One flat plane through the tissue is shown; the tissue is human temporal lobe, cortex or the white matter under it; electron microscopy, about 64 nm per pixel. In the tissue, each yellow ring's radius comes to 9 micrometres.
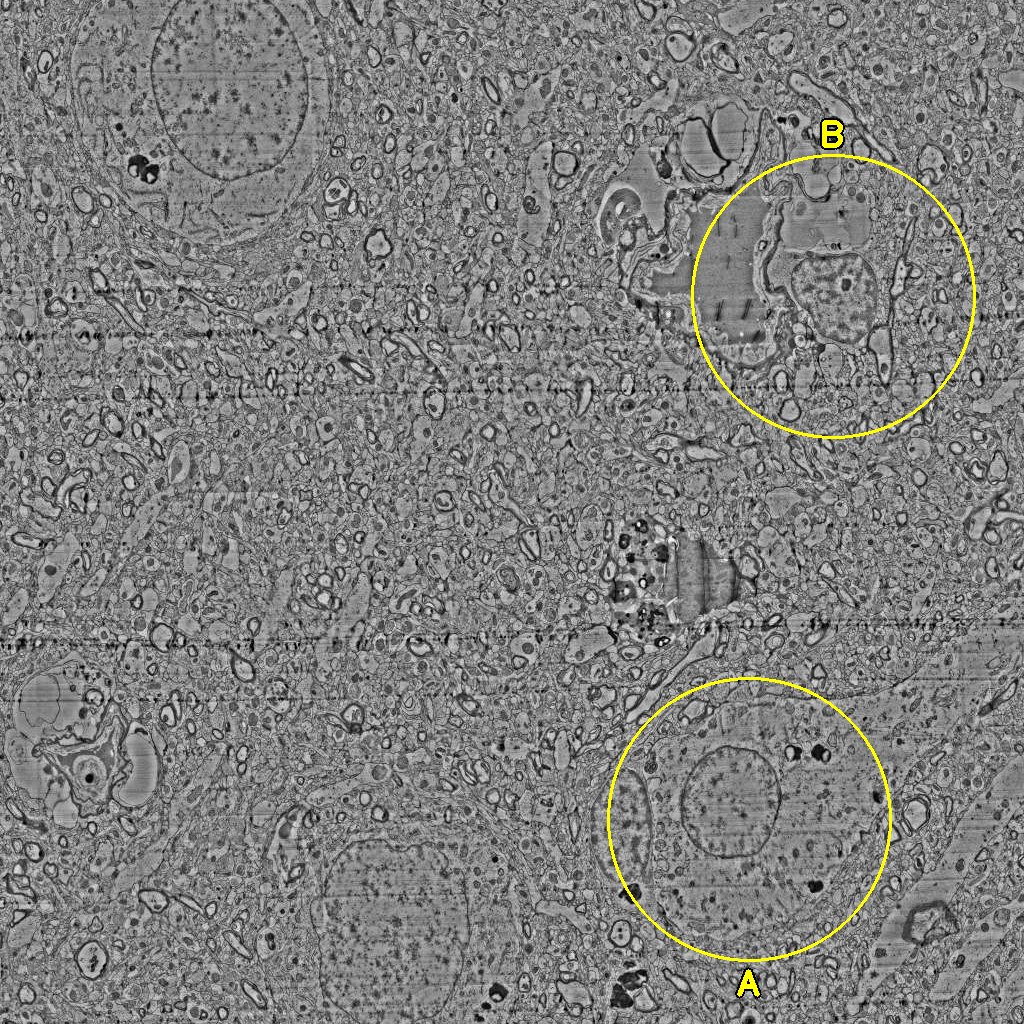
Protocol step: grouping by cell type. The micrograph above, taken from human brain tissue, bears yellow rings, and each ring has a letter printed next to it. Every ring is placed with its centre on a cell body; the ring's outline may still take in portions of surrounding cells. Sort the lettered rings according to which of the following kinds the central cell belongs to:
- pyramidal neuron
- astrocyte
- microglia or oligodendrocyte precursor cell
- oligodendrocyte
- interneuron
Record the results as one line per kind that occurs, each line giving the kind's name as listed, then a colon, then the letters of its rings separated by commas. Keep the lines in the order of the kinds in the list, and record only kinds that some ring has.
pyramidal neuron: A
oligodendrocyte: B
